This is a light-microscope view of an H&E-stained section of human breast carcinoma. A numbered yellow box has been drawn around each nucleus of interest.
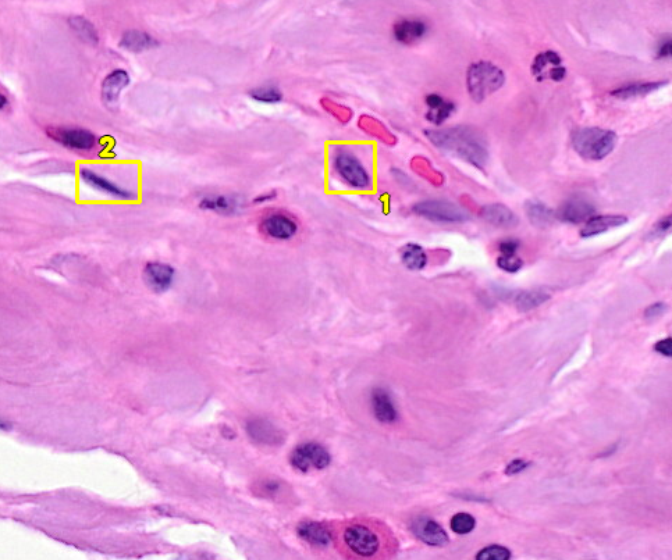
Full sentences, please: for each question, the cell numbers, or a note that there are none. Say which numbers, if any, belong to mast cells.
Cell 1 is a mast cell; the remaining numbered cells are not.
